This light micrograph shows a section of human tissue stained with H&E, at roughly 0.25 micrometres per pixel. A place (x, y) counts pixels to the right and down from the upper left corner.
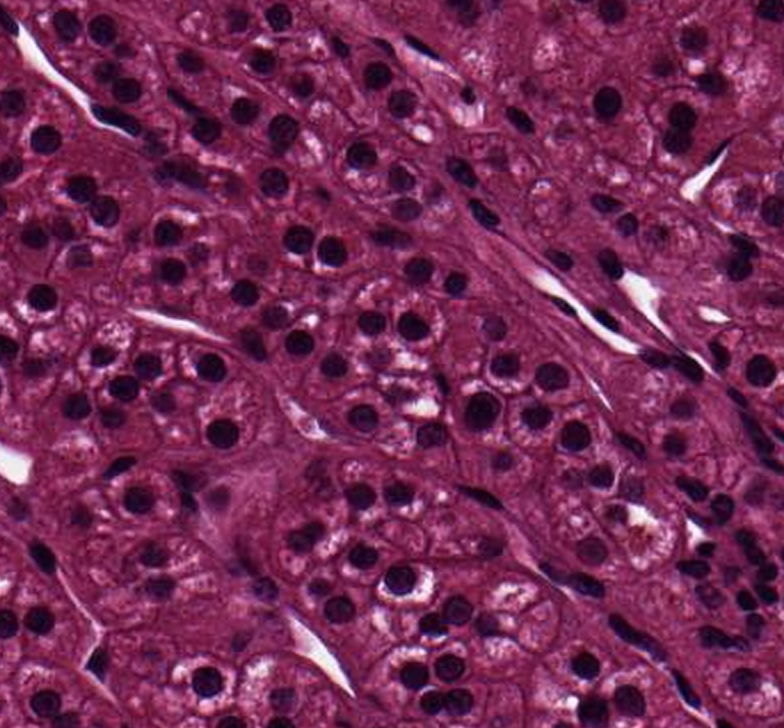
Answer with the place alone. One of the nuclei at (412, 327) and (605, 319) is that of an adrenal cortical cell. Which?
(412, 327)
